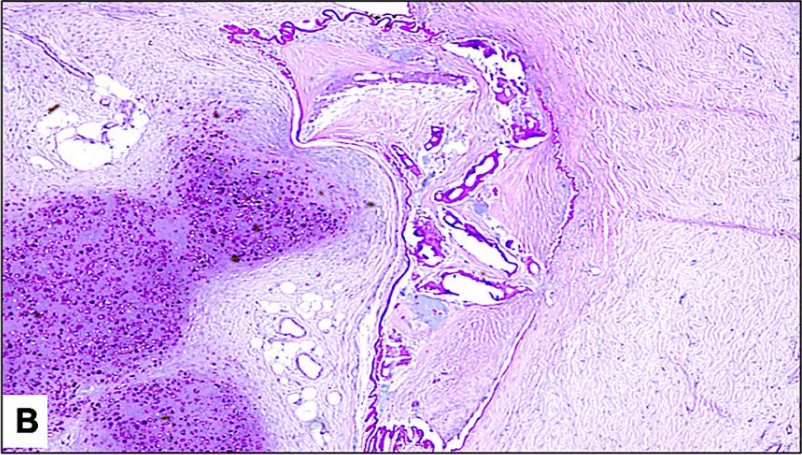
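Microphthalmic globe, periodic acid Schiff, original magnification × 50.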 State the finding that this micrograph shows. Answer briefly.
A: intraocular choristoma with cartilage and fat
